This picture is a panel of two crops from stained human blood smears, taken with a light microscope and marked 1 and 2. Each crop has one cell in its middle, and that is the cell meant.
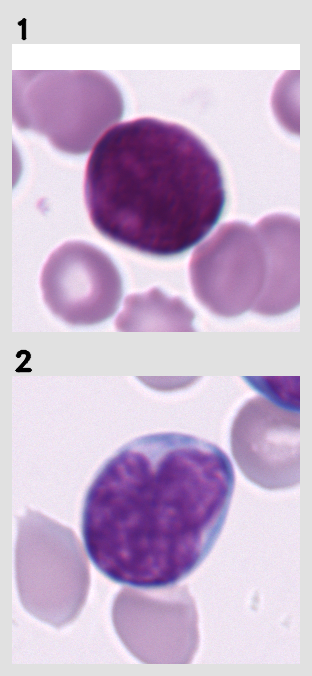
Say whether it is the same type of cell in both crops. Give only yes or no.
yes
